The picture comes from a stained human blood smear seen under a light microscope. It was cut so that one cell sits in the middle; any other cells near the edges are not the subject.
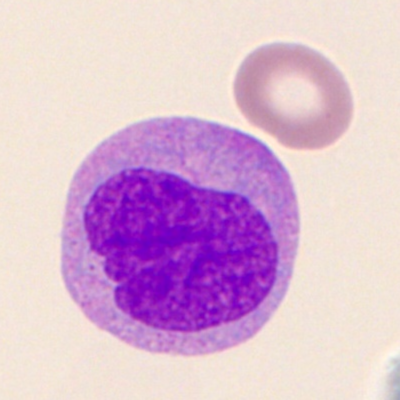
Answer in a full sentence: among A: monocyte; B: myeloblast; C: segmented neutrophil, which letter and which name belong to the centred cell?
Identification: the cell in the middle is a myeloblast, matching option B.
